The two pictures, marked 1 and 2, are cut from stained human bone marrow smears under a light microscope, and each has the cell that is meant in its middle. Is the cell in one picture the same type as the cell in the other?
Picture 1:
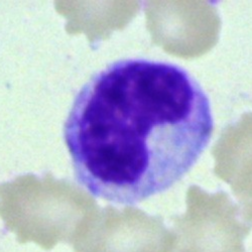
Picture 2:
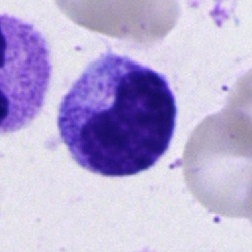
yes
